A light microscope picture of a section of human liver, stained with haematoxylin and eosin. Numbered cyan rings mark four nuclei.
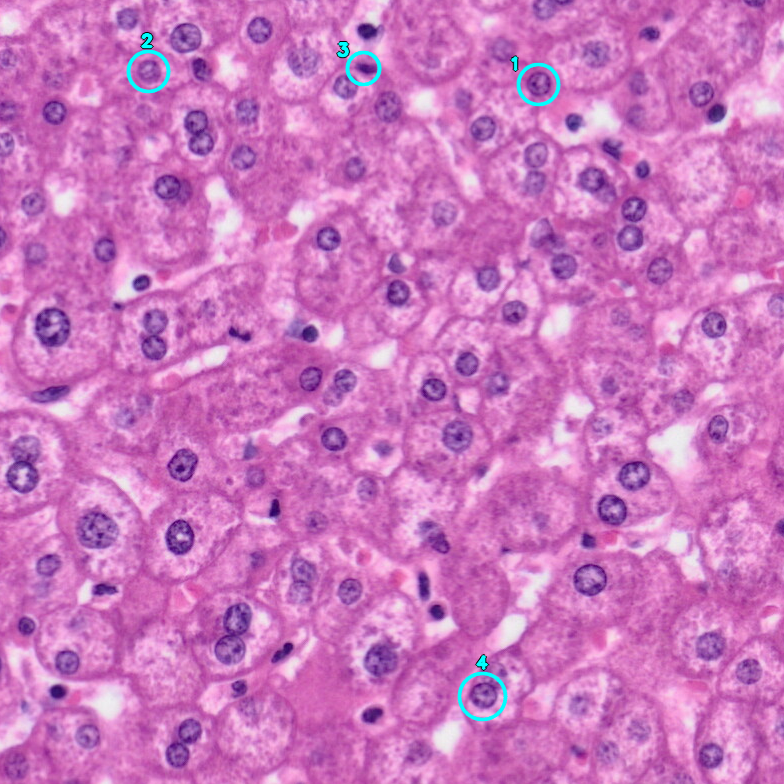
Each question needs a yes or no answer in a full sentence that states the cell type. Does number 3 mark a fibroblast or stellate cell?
Yes, correct, the cell with the number 3 is a fibroblast or stellate cell.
